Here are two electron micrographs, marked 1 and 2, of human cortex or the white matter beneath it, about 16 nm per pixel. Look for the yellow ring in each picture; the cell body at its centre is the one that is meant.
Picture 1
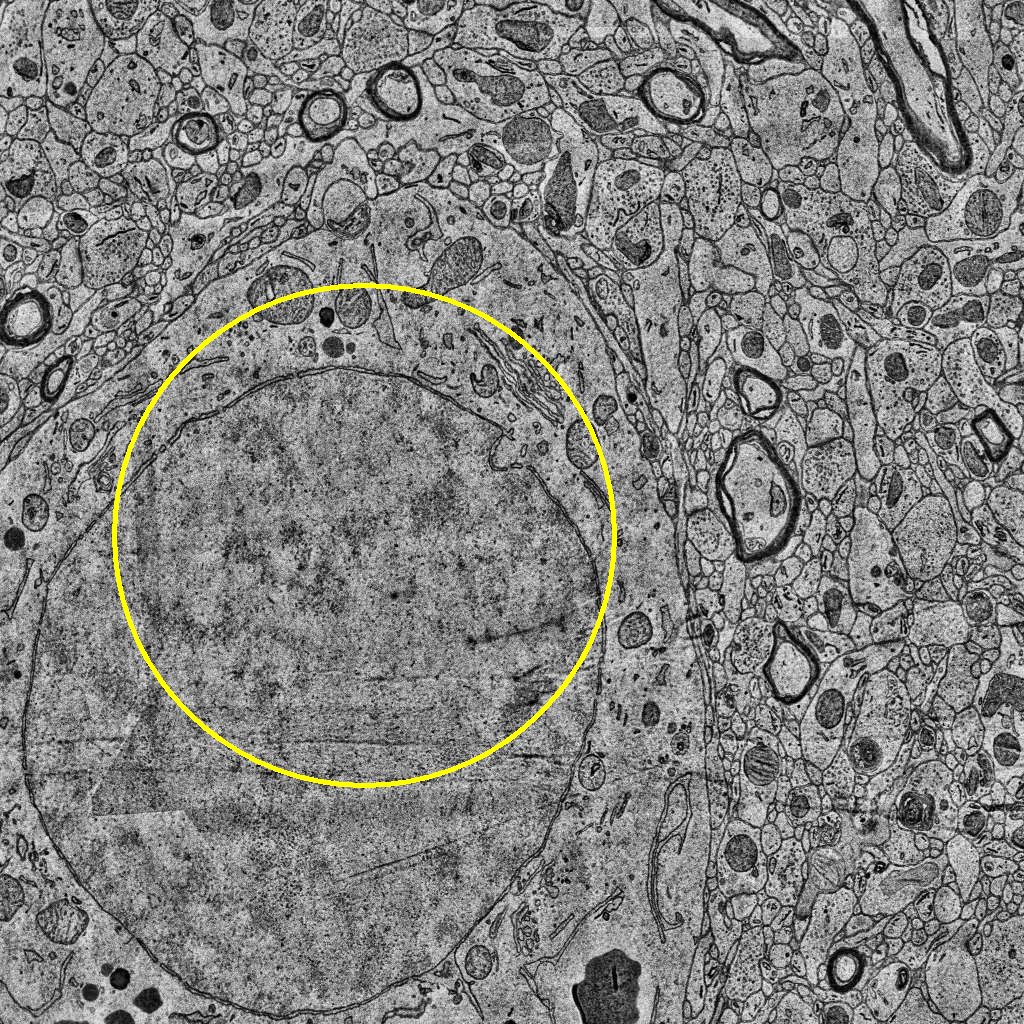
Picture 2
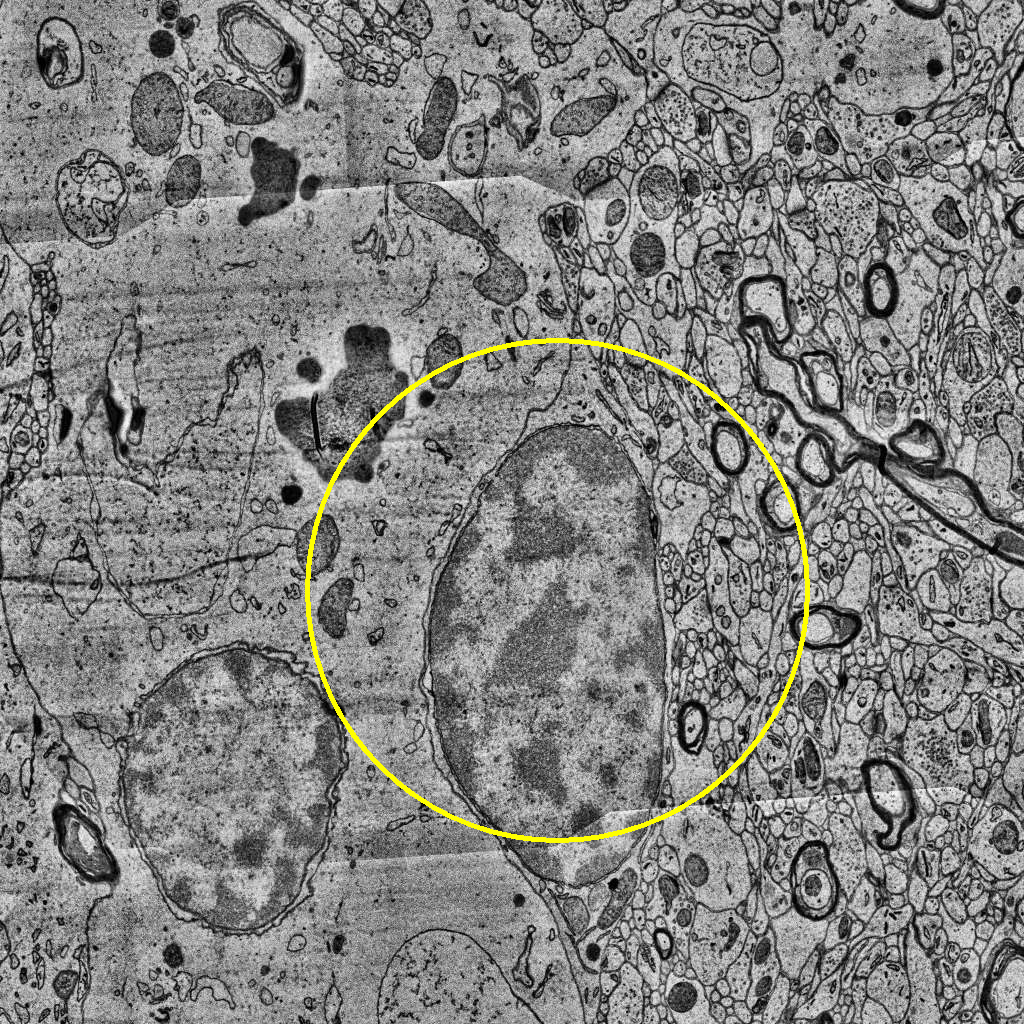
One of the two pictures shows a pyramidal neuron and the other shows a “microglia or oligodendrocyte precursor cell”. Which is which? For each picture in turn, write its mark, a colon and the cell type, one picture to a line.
1: pyramidal neuron
2: microglia or oligodendrocyte precursor cell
